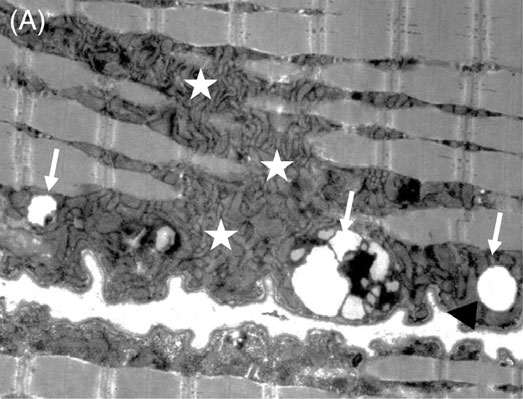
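Longitudinally cut skeletal muscle fibers seen by electron microscopy, with striated myofibrils showing regular bands running across the upper part. Between and beneath the myofibrils lie large masses of dark, membrane-bound mitochondria with irregular, twisted and contorted profiles, crowded together and pushing the myofibrils apart. Scattered in these masses are round, electron-lucent droplets of varying size; one larger structure near the centre contains several clear droplets together with dark irregular material. The fiber surface along the lower edge is scalloped, and a clear space separates it from a neighbouring fiber below.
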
